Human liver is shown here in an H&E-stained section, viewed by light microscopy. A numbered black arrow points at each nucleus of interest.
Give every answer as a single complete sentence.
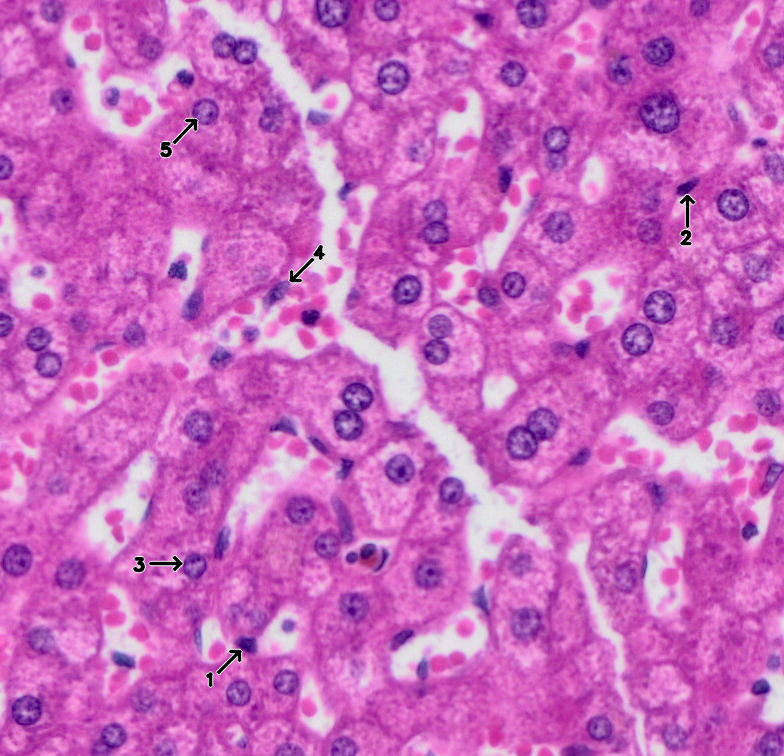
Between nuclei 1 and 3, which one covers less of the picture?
Nucleus 1 is the smaller one; nucleus 3 covers about 1.5 times its area.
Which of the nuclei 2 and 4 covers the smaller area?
With nucleus 4 about 2 times its size, nucleus 2 is the smaller of the two.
